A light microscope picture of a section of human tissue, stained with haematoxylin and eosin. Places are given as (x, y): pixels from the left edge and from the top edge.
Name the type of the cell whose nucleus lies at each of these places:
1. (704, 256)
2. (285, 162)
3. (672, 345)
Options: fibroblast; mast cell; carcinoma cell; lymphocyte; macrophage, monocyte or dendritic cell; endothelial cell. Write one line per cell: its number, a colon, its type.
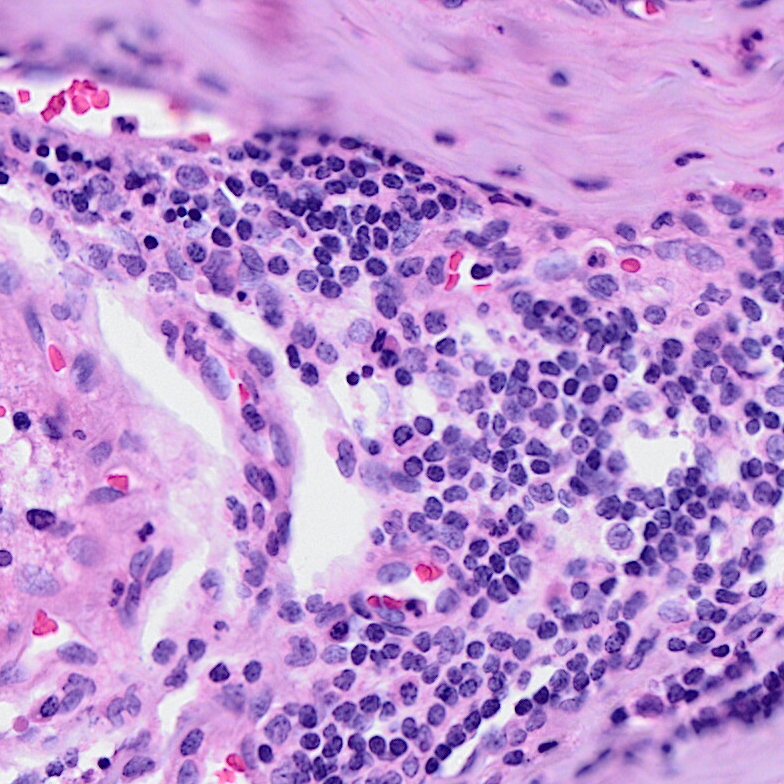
1: endothelial cell
2: lymphocyte
3: lymphocyte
